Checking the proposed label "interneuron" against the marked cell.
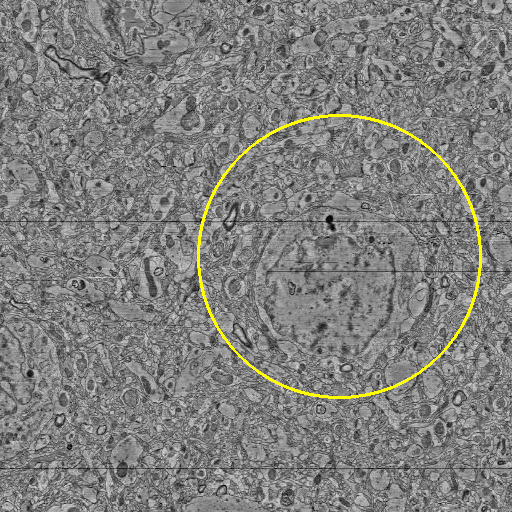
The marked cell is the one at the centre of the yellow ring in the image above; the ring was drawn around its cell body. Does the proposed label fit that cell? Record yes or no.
yes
